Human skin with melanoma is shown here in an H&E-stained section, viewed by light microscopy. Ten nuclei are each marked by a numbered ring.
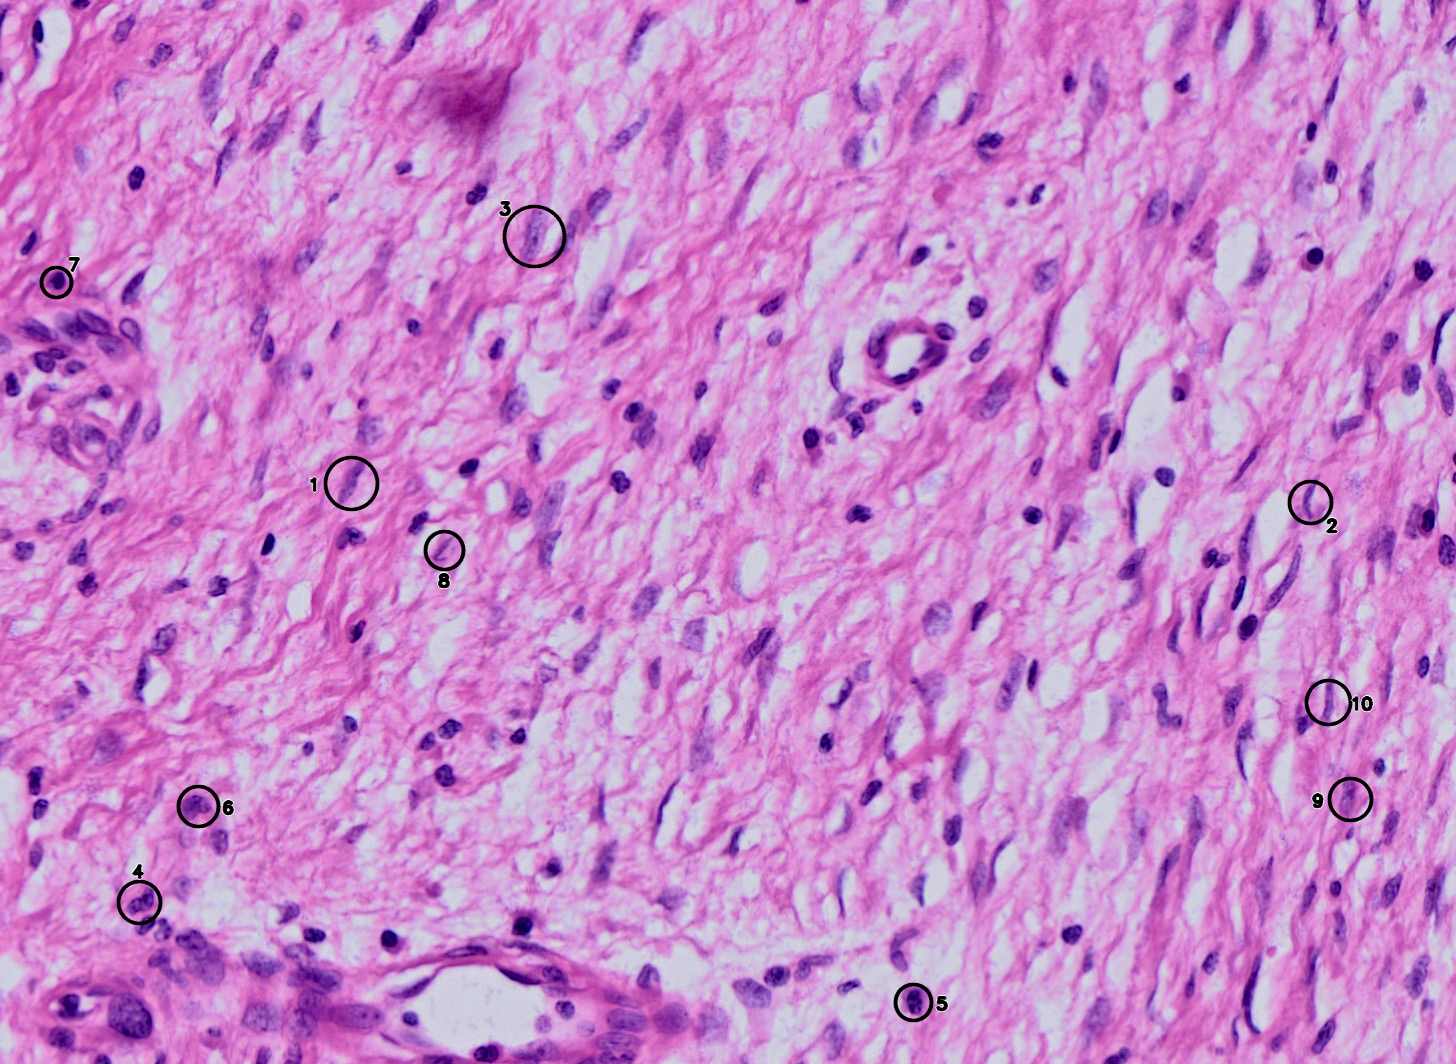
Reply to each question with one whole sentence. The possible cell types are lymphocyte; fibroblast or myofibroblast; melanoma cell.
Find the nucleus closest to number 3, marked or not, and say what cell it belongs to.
The nucleus nearest to number 3 is that of a fibroblast or myofibroblast.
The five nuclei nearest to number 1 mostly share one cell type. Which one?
Most of the five nuclei nearest to number 1 are those of lymphocytes.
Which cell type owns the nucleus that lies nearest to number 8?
The nucleus nearest to number 8 is that of a lymphocyte.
